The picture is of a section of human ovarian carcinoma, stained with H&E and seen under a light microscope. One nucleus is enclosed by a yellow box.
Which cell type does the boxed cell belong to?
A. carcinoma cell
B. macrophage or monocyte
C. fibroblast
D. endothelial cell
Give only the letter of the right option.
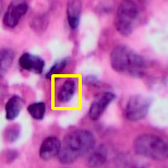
B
